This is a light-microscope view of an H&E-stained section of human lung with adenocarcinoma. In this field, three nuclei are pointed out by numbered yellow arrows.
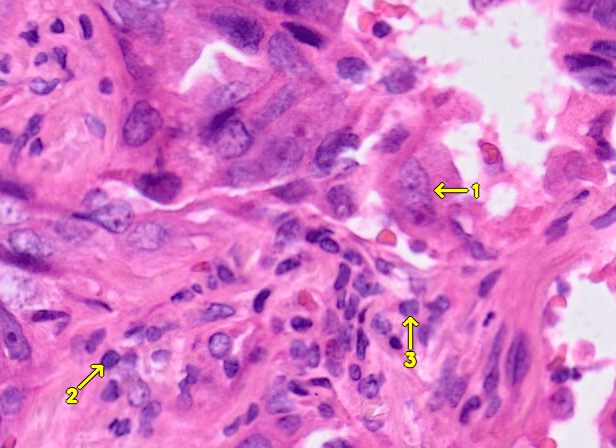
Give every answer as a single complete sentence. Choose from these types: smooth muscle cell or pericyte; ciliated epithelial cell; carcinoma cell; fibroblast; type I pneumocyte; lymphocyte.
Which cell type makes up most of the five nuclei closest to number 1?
Most of the five nuclei nearest to number 1 are those of carcinoma cells.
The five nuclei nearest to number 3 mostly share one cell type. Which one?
Around number 3, most of the five nearest nuclei are those of fibroblasts.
